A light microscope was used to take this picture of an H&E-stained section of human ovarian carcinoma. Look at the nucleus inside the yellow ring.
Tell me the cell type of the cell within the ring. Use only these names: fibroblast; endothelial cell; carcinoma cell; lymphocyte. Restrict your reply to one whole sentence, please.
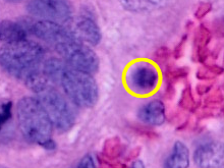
Placed in its cell category, the cell within the ring is a lymphocyte.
